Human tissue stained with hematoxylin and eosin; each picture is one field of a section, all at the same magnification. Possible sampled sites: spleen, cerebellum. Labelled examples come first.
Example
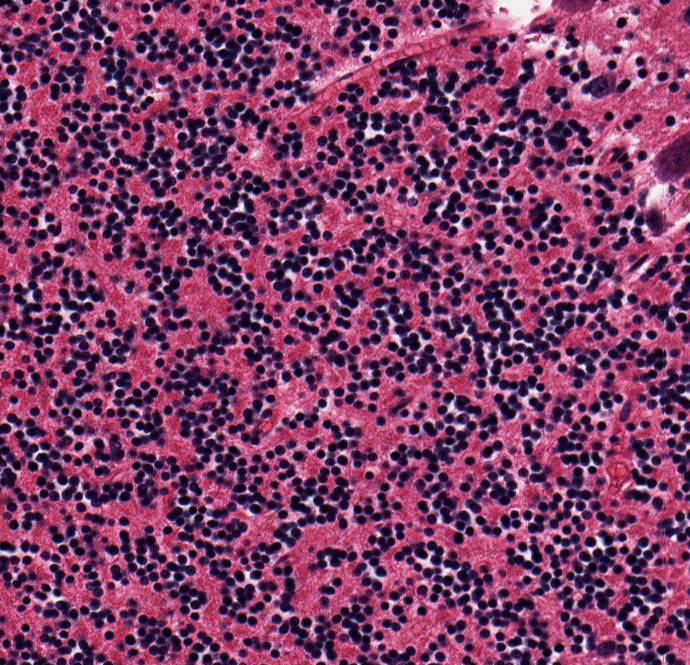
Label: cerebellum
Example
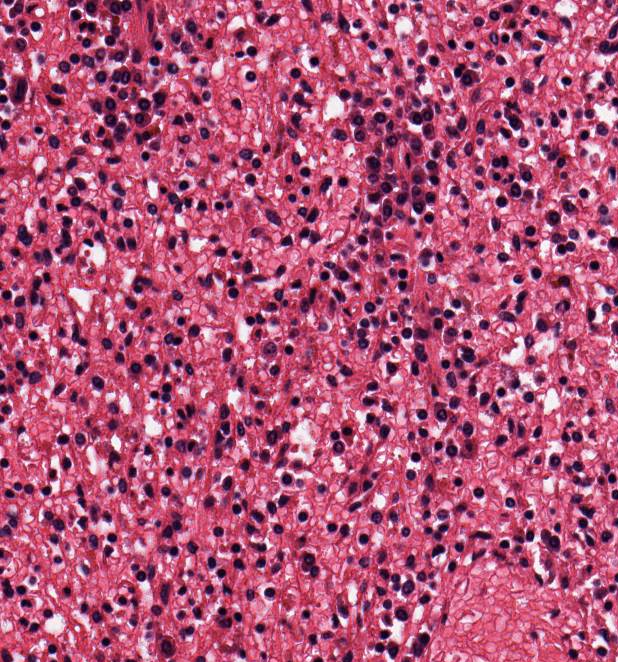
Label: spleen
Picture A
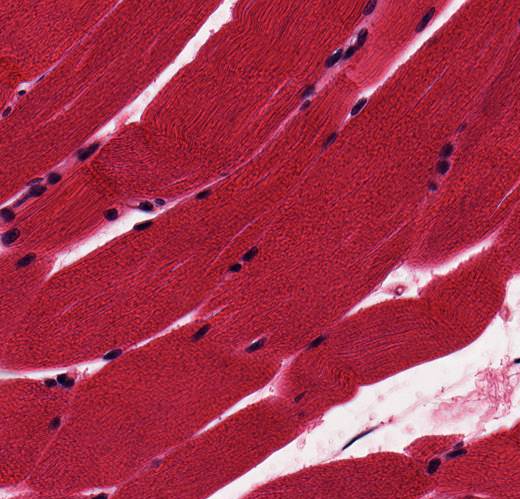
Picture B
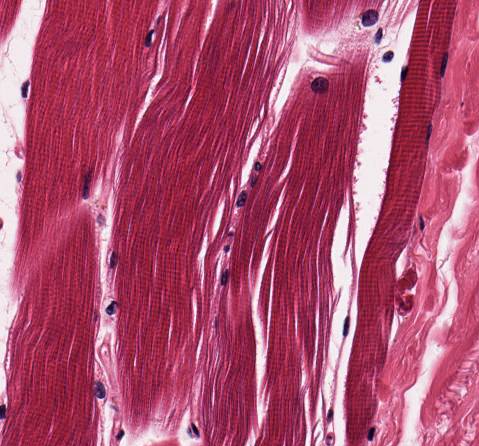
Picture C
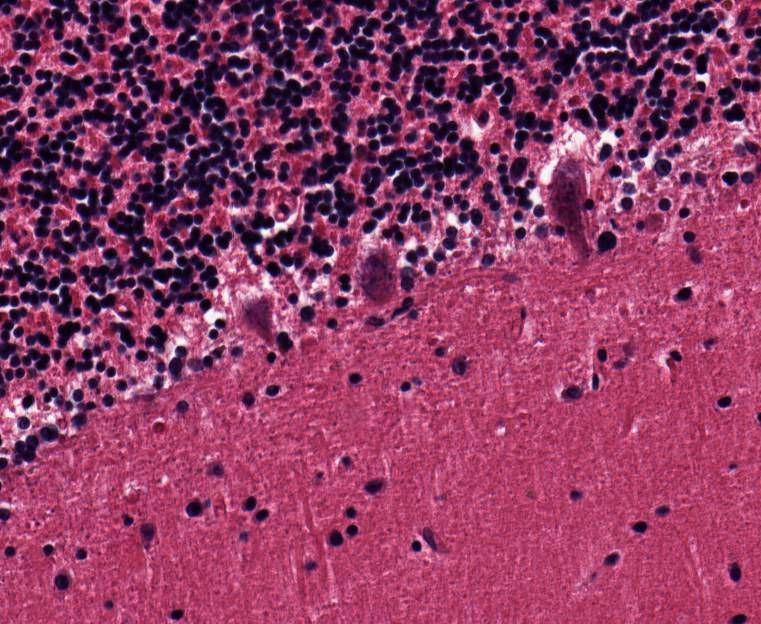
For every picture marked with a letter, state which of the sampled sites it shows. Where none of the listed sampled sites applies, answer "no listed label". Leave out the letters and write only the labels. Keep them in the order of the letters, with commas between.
no listed label, no listed label, cerebellum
